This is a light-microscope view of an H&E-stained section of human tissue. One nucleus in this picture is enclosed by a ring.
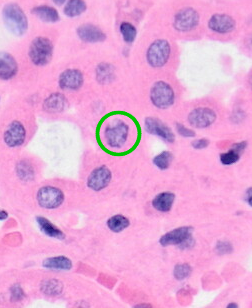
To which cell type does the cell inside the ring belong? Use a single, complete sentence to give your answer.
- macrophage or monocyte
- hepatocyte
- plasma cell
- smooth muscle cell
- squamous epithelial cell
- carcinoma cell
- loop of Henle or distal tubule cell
Labelled by cell type, the cell inside the ring is a loop of Henle or distal tubule cell.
